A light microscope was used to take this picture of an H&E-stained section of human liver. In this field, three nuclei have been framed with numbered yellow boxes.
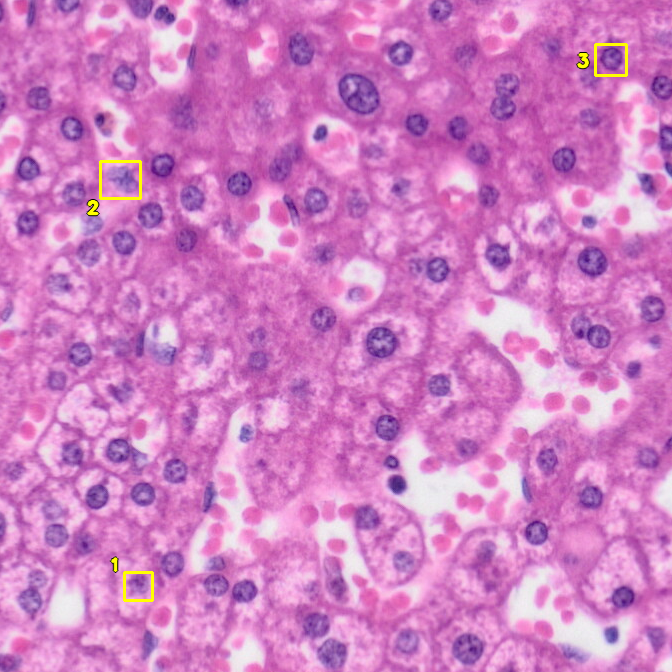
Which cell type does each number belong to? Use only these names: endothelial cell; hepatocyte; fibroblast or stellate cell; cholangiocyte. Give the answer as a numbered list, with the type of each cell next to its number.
1. hepatocyte
2. endothelial cell
3. hepatocyte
